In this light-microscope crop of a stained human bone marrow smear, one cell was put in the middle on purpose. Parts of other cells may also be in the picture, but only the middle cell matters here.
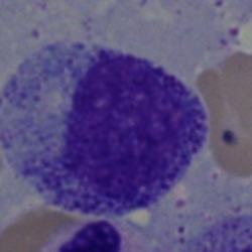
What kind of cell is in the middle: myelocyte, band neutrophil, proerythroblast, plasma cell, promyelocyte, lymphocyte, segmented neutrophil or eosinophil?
promyelocyte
